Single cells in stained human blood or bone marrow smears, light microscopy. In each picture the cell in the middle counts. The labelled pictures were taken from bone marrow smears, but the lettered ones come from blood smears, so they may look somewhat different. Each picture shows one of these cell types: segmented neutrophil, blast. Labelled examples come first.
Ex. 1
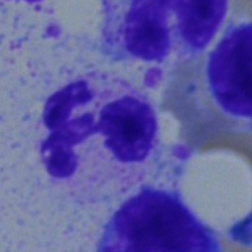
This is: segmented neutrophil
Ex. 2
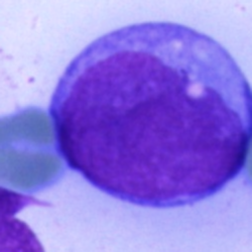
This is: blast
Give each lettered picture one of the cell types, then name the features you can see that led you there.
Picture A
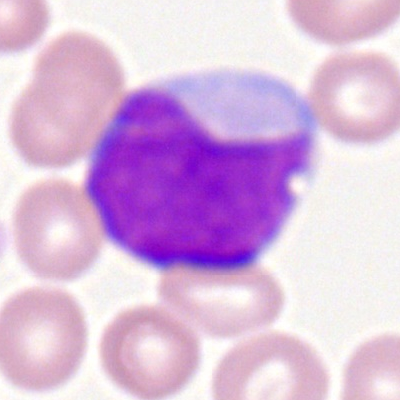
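blast: The nucleus fills most of the cell.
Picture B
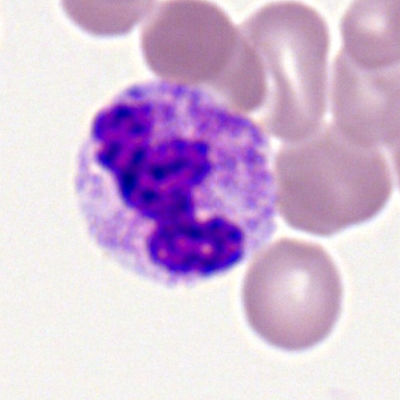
segmented neutrophil: The cytoplasm is plentiful and pale lilac-pink.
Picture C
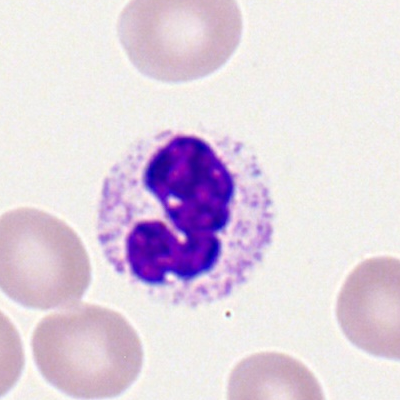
segmented neutrophil: The cytoplasm is pale pink.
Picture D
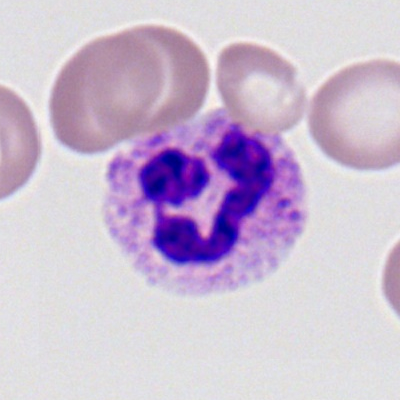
segmented neutrophil: The cytoplasm is plentiful and pale pinkish-lilac.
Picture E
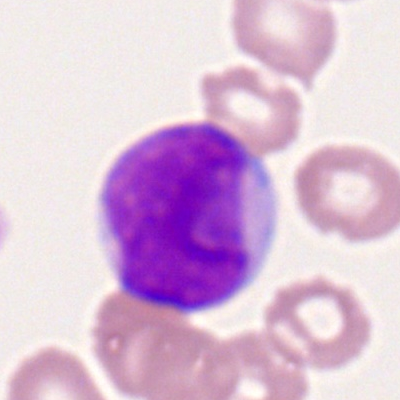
blast: The nucleus fills most of the cell.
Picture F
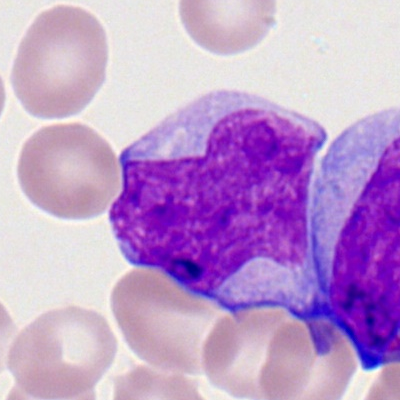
blast: The nucleus fills most of the cell.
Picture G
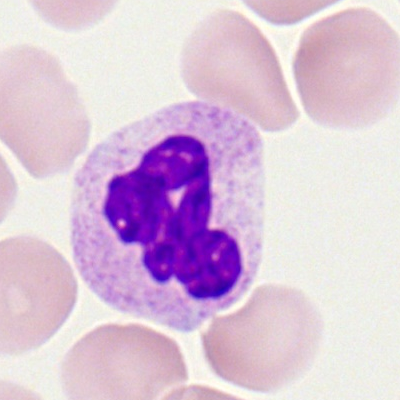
segmented neutrophil: The nucleus is divided into several dense lobes twisted together in the middle of the cell.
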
